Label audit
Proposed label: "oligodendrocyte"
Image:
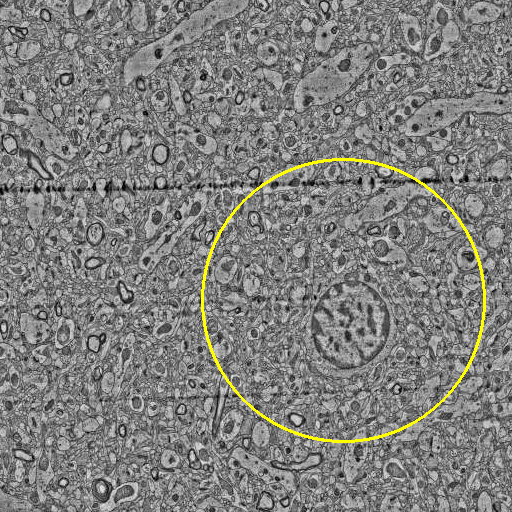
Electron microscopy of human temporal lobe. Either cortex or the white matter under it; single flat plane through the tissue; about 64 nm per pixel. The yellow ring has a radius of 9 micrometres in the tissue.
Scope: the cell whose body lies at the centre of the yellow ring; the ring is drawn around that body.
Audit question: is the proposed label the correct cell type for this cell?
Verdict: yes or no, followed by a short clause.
Yes, the label fits this cell.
